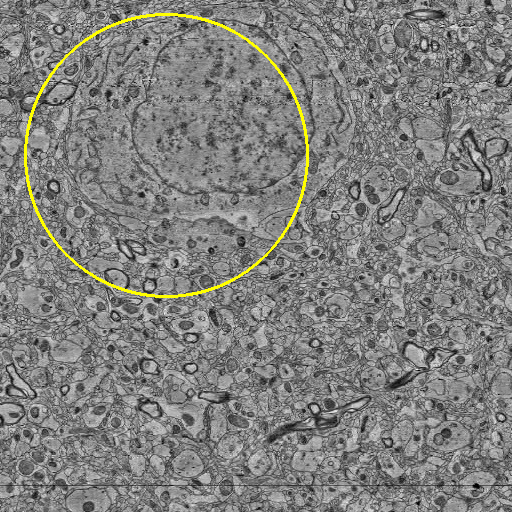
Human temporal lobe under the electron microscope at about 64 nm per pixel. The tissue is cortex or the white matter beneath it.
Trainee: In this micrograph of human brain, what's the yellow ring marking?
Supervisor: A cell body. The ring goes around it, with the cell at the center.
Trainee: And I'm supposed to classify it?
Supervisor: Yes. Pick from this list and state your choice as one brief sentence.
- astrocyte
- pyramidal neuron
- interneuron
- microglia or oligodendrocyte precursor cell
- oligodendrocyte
The cell at the ring's center is an interneuron.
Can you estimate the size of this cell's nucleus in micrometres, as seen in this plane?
About 12 micrometres across, as seen in this plane.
